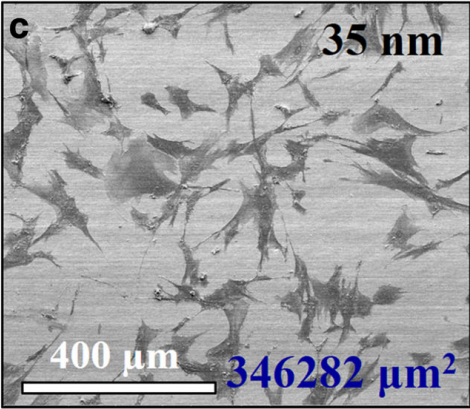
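The cells appear as darker, thin, flattened shapes against the lighter, finely streaked background of the surface. Many of them are spindle-shaped or star-shaped, drawing out into long, tapering processes that reach toward neighbouring cells. Some cells are broad and fan-like, while others are slender and elongated, and together they cover a good part of the field in a loose, interconnected network. Small bright particles are scattered here and there on the surface among the cells.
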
